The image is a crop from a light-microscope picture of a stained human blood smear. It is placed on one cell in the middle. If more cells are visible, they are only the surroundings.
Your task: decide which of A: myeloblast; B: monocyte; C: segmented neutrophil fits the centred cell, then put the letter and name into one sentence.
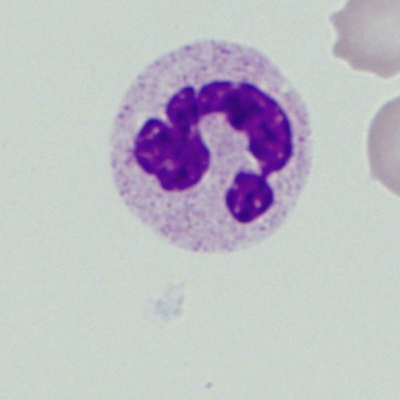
The central cell of the crop is a segmented neutrophil, which makes C the correct option.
